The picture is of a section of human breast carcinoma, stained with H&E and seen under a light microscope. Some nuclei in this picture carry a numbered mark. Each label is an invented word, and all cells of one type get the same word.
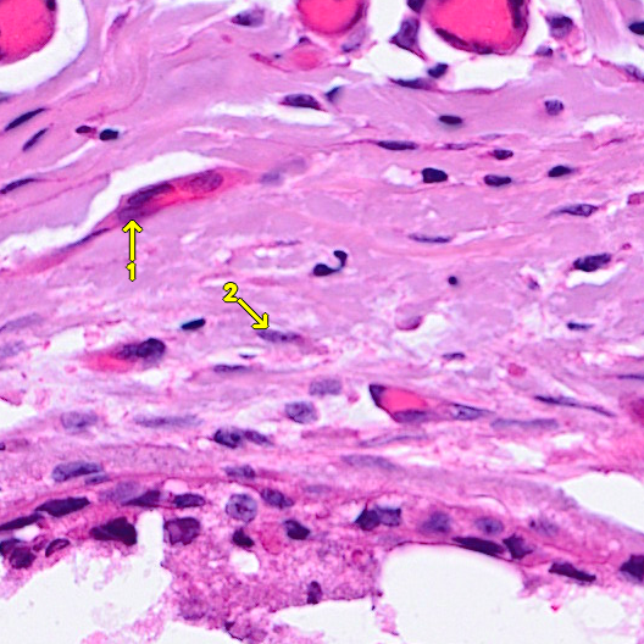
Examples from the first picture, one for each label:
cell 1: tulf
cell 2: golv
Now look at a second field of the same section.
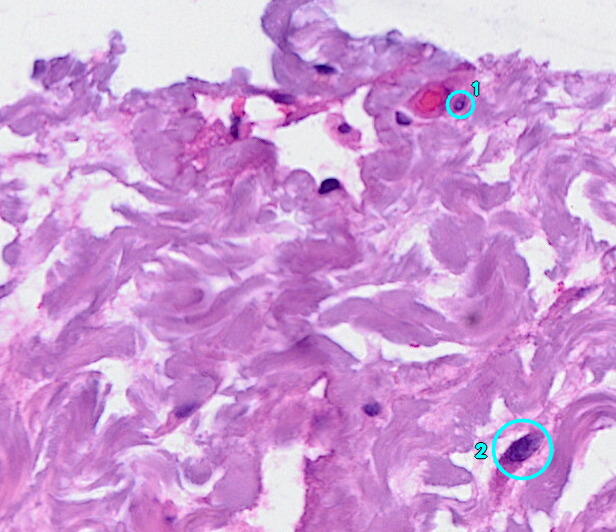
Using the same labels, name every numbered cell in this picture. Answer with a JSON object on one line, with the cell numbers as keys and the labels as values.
{"1": "tulf", "2": "golv"}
